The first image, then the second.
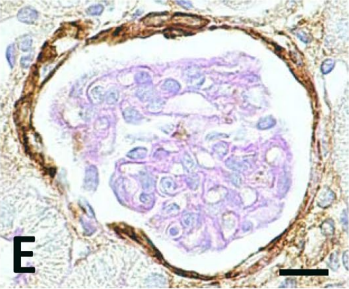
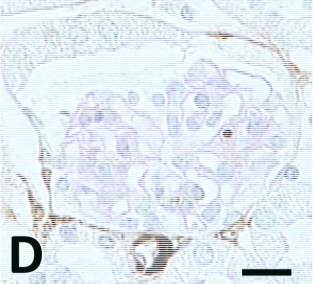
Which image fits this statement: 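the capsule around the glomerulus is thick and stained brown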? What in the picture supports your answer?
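The first image. First image: a thick, dark brown band surrounds the glomerular tuft.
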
